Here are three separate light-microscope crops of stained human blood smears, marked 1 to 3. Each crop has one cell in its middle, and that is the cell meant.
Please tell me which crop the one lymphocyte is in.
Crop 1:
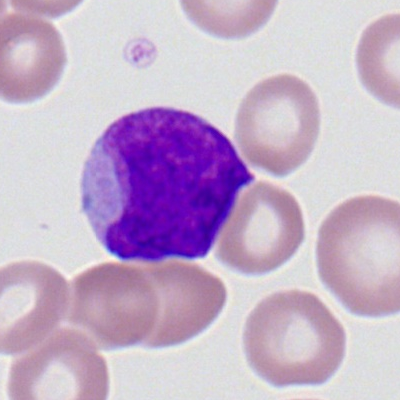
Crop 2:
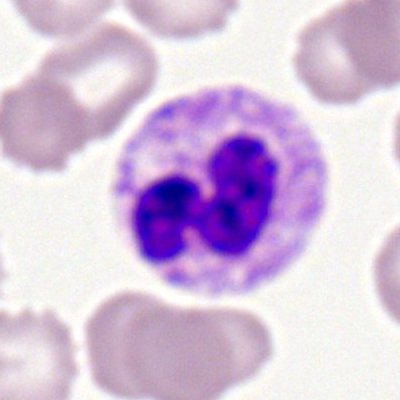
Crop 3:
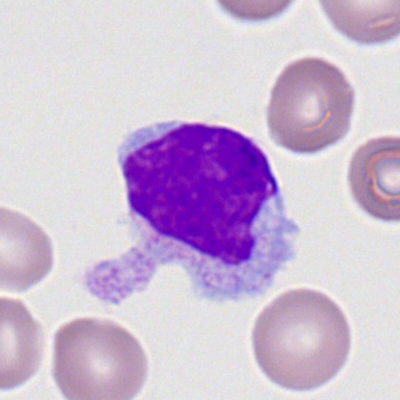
3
